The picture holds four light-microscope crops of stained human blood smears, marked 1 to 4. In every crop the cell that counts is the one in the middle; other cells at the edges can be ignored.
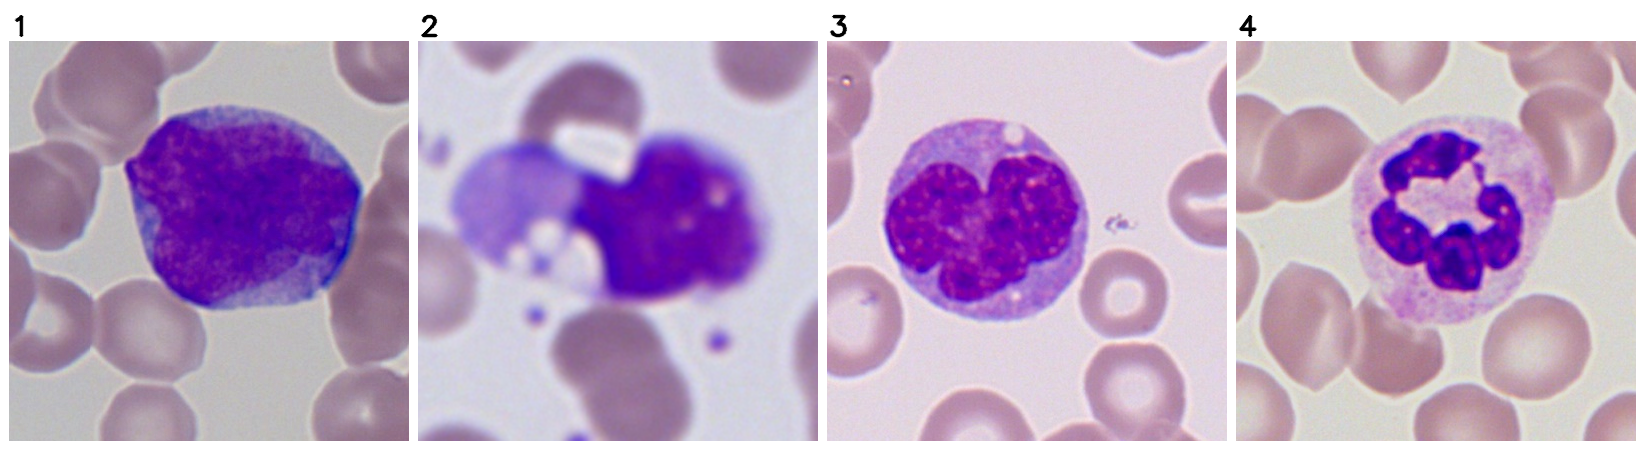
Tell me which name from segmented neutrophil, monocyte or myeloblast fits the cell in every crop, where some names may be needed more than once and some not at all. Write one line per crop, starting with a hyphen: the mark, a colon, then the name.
- 1: myeloblast
- 2: monocyte
- 3: monocyte
- 4: segmented neutrophil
